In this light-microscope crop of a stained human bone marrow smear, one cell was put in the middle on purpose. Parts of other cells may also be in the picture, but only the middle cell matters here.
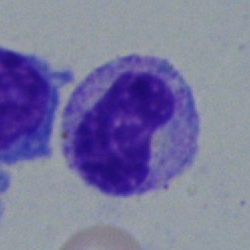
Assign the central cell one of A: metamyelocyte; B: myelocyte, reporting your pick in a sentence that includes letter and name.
The middle of the crop contains a metamyelocyte, so option A is right.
